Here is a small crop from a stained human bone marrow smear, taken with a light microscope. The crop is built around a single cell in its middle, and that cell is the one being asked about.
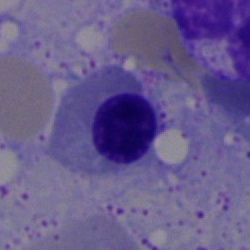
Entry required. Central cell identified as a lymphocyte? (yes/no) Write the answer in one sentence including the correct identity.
No, the central cell is a normoblast; it should not be labelled a lymphocyte.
